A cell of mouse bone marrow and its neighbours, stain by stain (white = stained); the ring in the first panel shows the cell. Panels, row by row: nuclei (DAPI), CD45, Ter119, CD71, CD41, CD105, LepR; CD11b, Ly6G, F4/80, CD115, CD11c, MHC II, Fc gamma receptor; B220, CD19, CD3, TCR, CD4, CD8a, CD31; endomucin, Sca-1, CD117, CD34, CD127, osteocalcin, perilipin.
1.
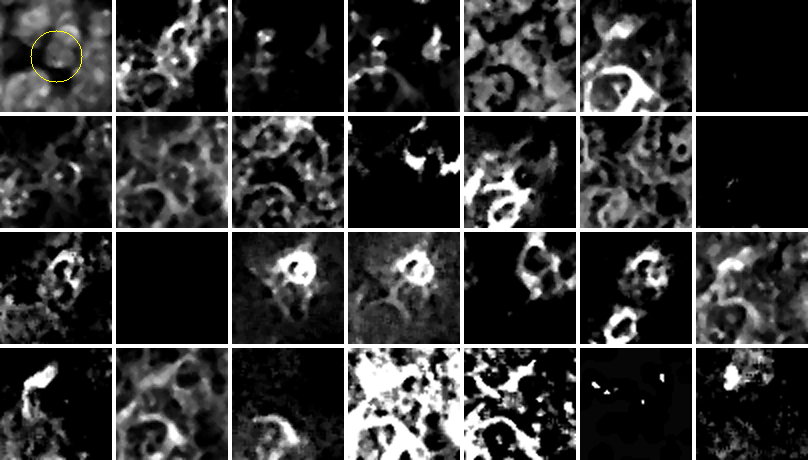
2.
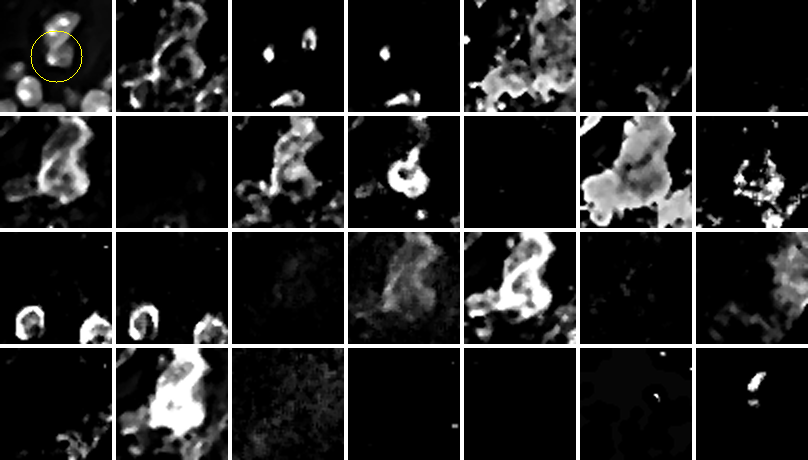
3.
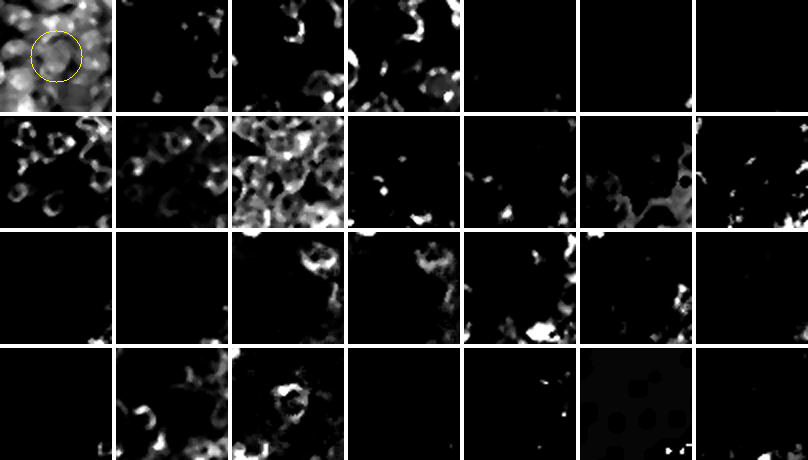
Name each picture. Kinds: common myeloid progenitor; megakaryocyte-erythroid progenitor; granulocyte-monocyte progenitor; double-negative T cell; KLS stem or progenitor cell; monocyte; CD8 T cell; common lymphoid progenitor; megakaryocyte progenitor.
1: double-negative T cell
2: monocyte
3: megakaryocyte-erythroid progenitor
